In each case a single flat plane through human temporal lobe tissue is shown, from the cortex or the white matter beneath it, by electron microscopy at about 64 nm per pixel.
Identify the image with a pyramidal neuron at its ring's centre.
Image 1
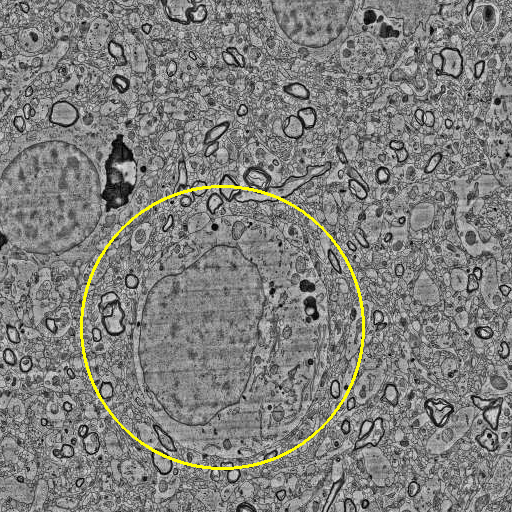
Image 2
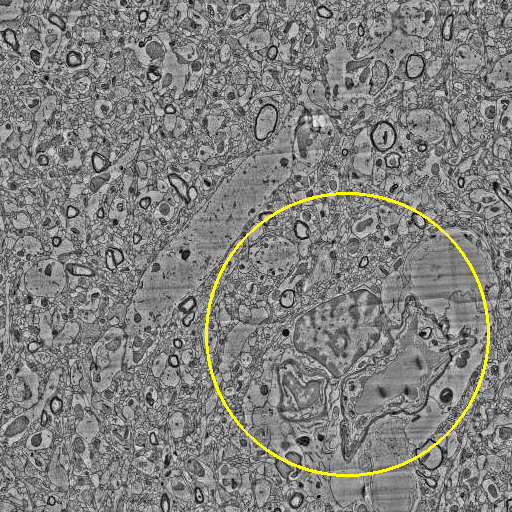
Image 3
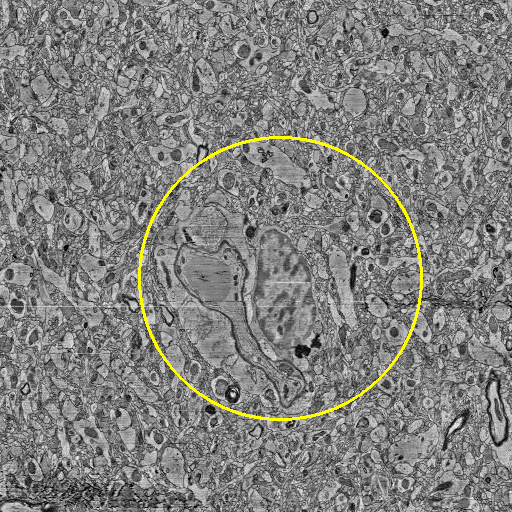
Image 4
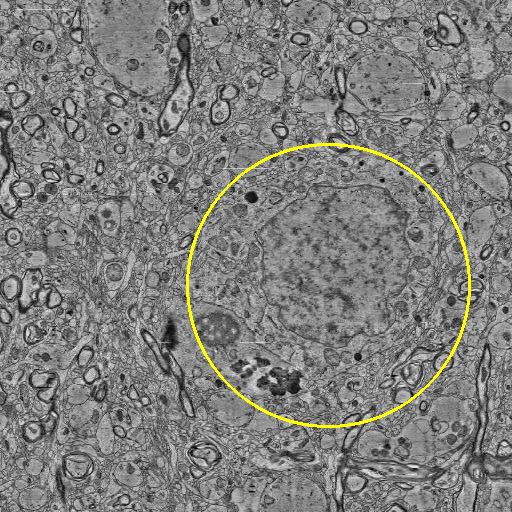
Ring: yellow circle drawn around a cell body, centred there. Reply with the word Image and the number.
Image 1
